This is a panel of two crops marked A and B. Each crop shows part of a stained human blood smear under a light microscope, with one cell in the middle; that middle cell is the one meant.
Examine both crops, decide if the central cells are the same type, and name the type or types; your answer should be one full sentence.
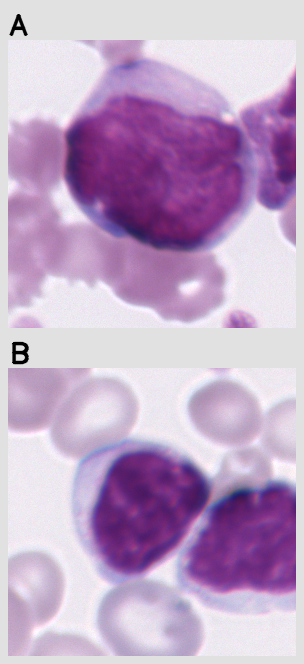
No, crop B holds a large granular lymphocyte, while crop A holds a myeloblast.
